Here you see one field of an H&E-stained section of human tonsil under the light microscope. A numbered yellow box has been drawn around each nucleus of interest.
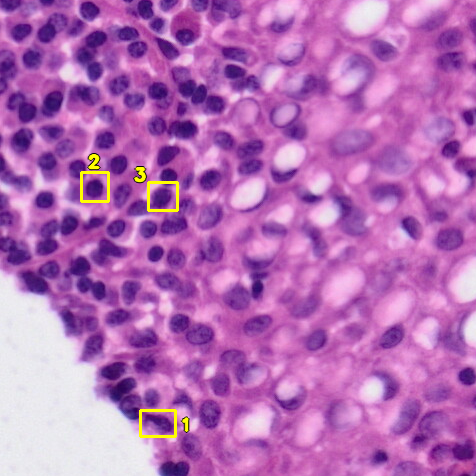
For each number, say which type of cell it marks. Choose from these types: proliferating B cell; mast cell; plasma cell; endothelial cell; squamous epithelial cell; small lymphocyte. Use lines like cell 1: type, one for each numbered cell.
cell 1: squamous epithelial cell
cell 2: plasma cell
cell 3: plasma cell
